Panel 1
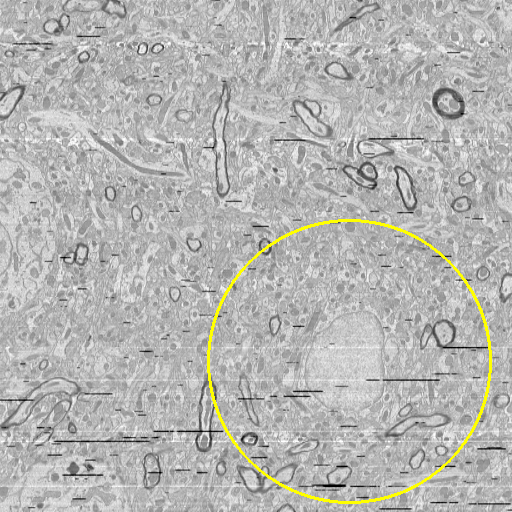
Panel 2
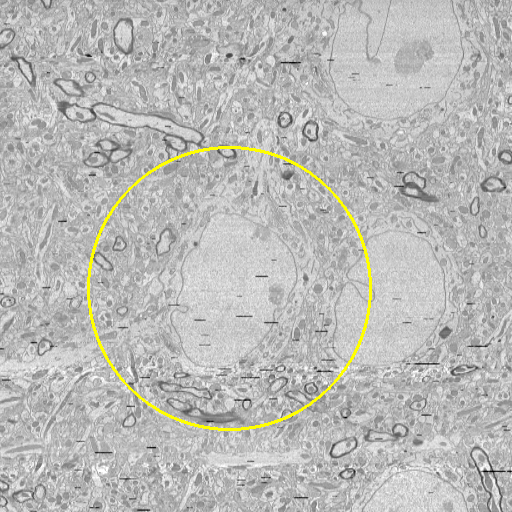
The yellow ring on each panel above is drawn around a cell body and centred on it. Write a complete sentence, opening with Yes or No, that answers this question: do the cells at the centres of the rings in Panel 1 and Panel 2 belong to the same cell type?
No, the two cells belong to two cell types.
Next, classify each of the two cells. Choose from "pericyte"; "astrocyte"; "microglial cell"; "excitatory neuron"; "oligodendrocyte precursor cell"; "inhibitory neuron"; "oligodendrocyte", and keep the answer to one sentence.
In the first picture it is an astrocyte; in the second it is an excitatory neuron.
